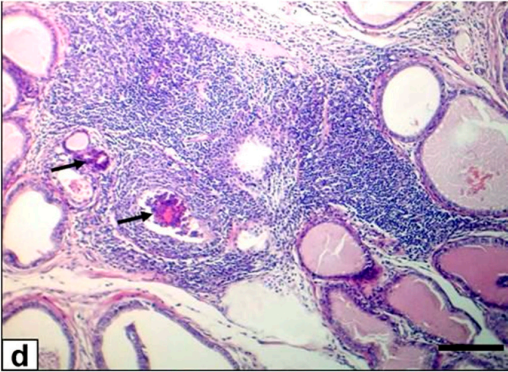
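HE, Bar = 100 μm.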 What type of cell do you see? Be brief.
leukocytes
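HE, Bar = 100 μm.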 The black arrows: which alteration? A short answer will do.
necrosis of glandular acini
